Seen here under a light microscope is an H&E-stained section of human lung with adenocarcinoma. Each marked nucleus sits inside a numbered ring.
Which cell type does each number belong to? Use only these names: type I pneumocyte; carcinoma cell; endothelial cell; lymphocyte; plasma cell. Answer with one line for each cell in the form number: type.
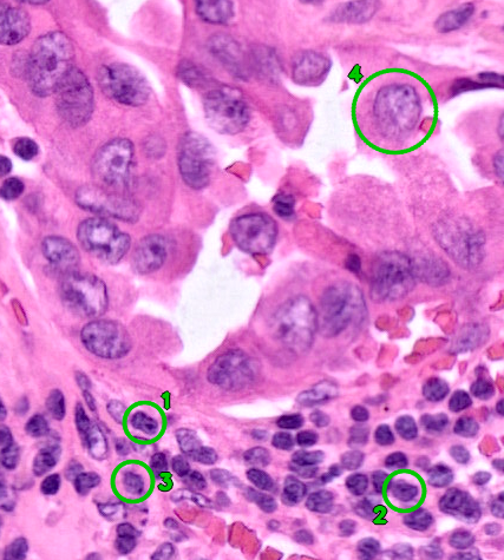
1: lymphocyte
2: lymphocyte
3: lymphocyte
4: carcinoma cell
